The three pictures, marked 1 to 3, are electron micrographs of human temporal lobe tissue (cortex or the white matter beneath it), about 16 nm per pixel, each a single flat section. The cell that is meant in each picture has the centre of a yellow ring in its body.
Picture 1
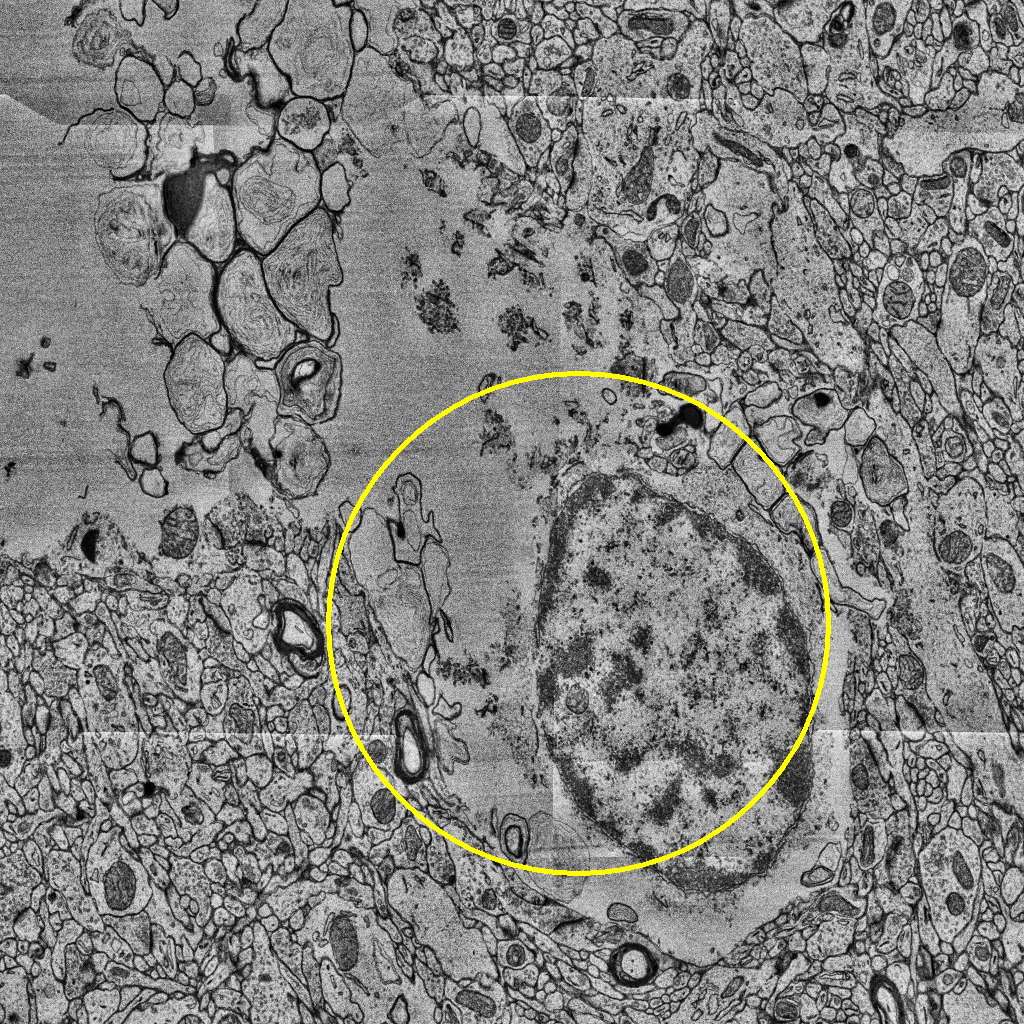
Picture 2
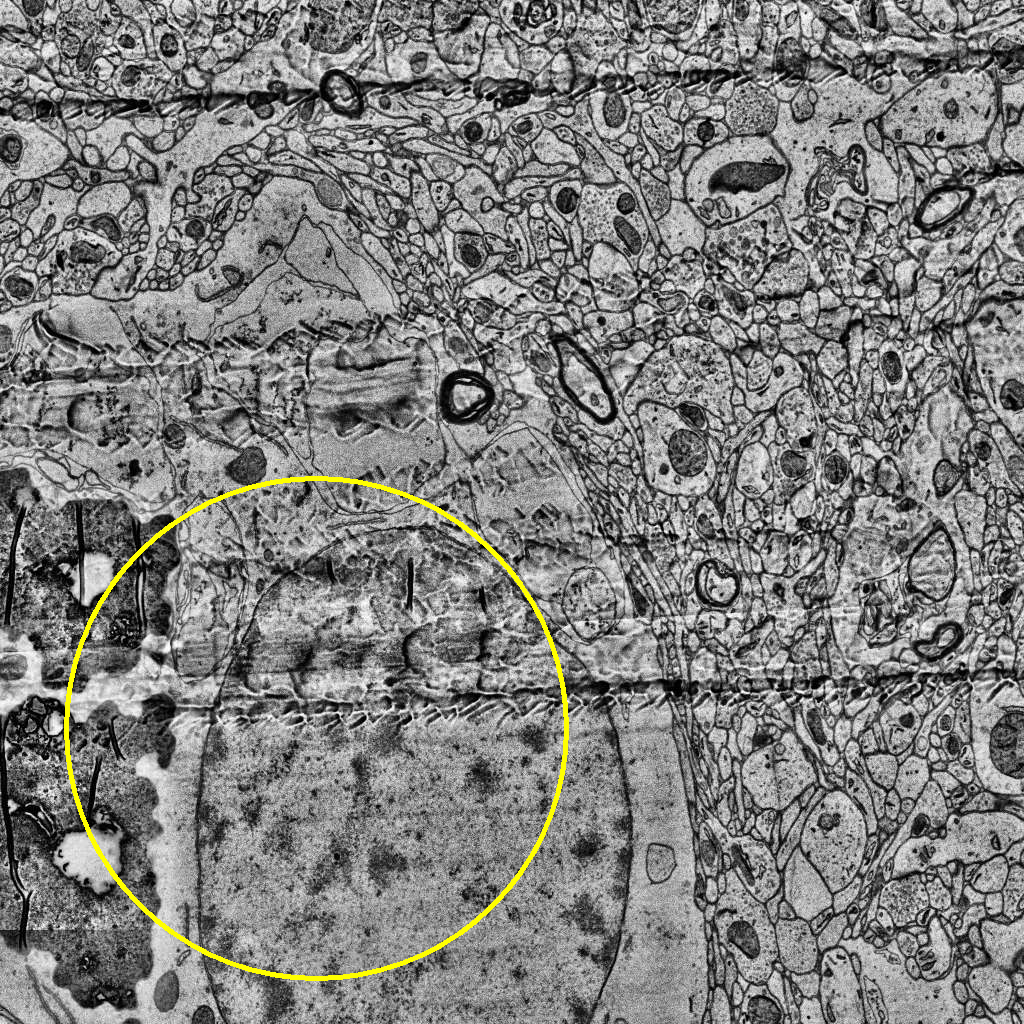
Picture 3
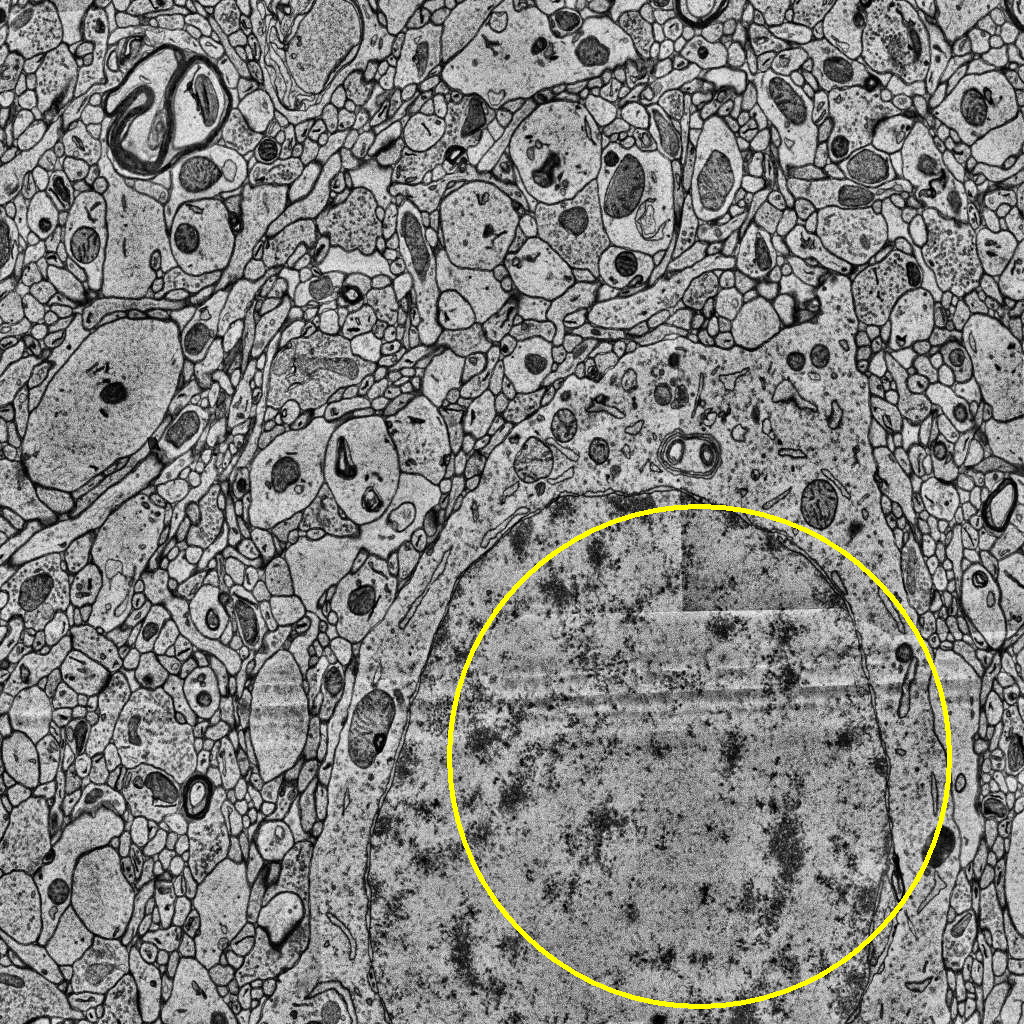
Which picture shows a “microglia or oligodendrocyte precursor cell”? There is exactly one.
The “microglia or oligodendrocyte precursor cell” is the one in picture 1.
